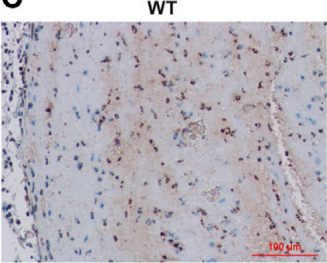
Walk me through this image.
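A pale tan mass of loosely layered, largely acellular material fills the field, with scattered cells spread through it. Many of these cells carry dark brown-stained bodies or cytoplasm around small blue nuclei, while others show only blue nuclei. The brown cells are small and rounded to irregular and lie singly, not in sheets or glands.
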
